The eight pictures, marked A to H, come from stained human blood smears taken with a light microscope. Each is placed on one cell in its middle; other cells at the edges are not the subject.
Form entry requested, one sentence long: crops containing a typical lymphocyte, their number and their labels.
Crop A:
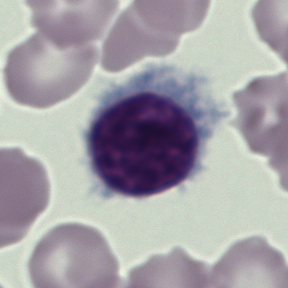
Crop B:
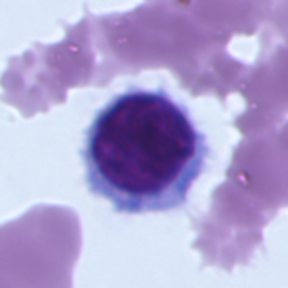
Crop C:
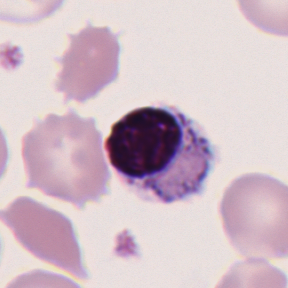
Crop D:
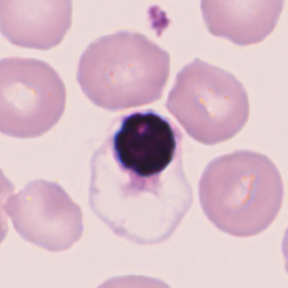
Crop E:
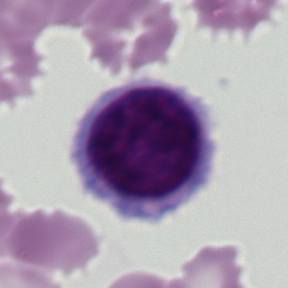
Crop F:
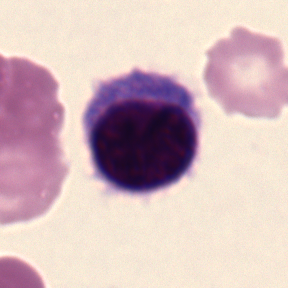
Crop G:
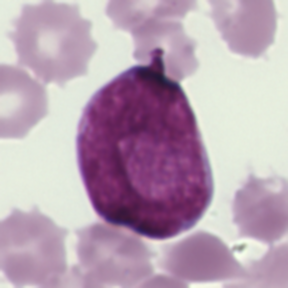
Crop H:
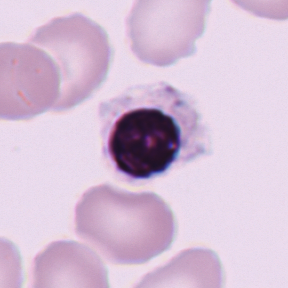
Zero is the number of typical lymphocytes, as no crop shows any of them.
